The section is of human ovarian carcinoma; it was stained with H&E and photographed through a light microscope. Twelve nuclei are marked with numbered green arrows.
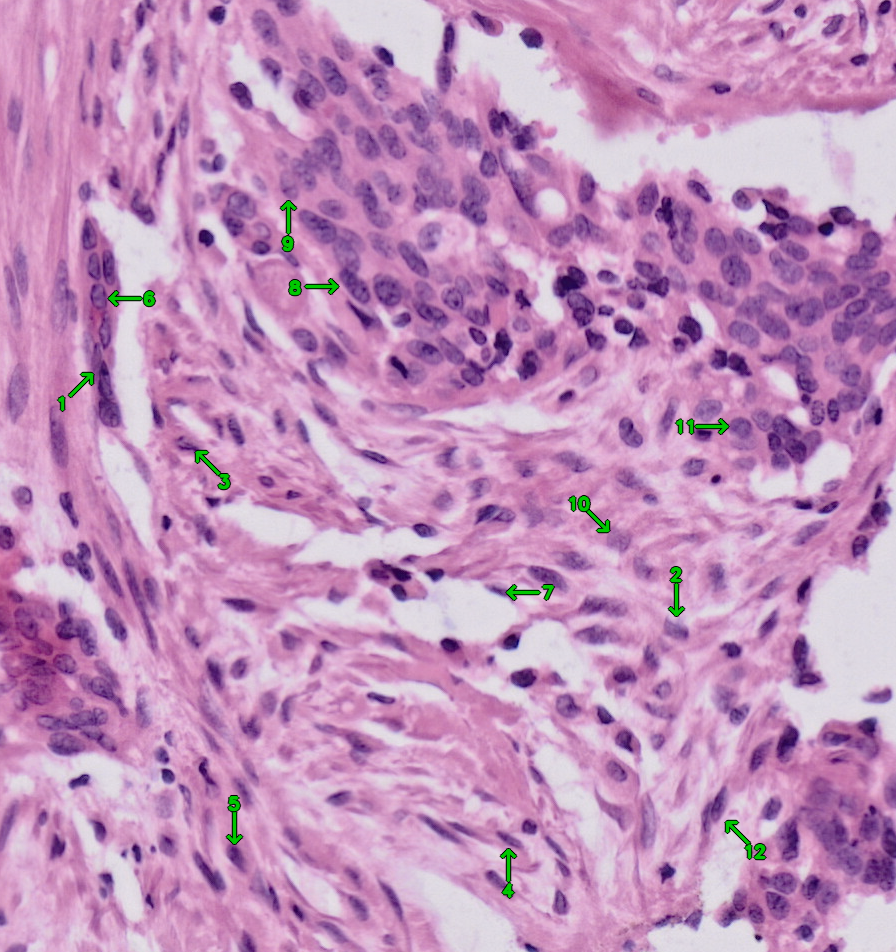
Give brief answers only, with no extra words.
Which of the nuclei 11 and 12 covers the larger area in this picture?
12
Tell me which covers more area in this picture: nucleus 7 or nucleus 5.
5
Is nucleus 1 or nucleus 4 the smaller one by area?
4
